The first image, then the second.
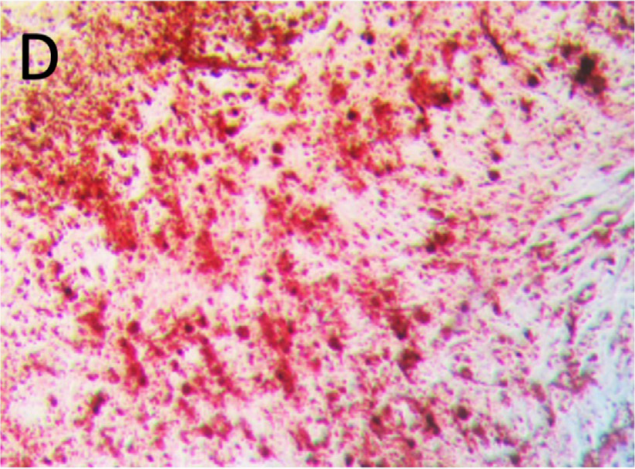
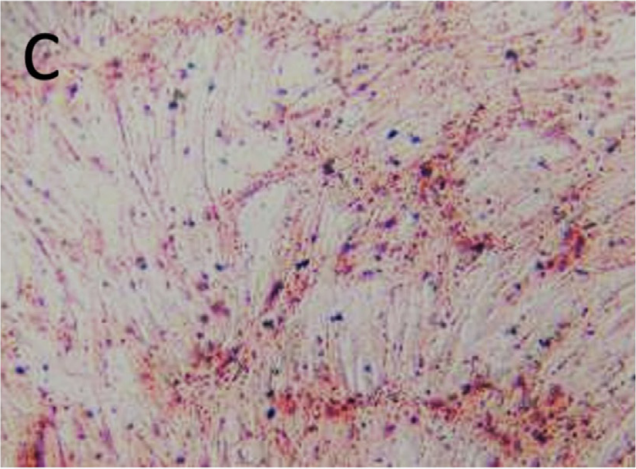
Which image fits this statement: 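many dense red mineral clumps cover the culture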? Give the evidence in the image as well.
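First image: large dark red granular clumps fill much of the field. So: the first image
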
